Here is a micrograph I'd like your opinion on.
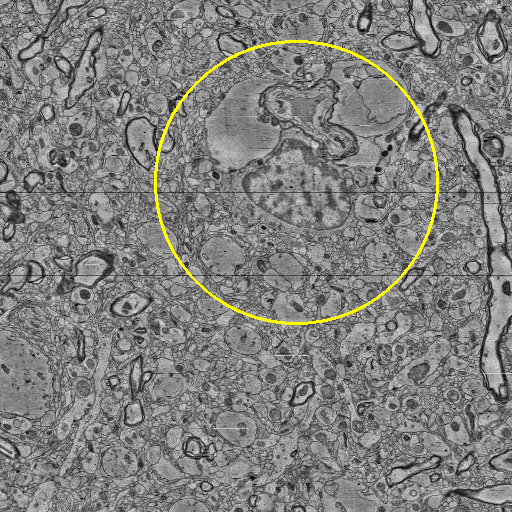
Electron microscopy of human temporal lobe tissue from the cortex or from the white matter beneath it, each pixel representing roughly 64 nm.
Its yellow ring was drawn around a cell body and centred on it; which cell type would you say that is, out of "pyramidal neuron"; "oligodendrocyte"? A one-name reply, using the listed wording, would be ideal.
oligodendrocyte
